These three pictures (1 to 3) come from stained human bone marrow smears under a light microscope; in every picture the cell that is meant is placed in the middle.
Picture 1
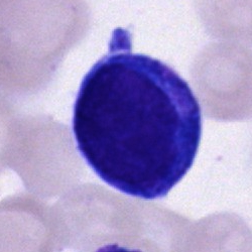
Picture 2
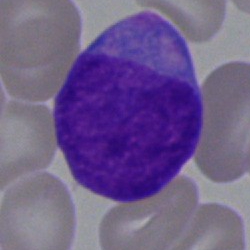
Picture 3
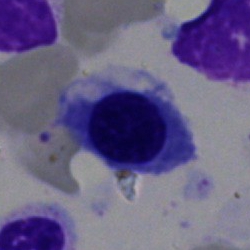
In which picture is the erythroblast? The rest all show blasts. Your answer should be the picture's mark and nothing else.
3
